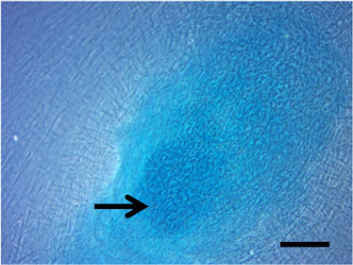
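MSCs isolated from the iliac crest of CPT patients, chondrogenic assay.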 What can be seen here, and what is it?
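A broad, dense nodule stains deep blue in the middle of the field, surrounded by a paler blue halo. Around it the dish is covered by a confluent layer of elongated, spindle-shaped cells that stream in parallel sweeps.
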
